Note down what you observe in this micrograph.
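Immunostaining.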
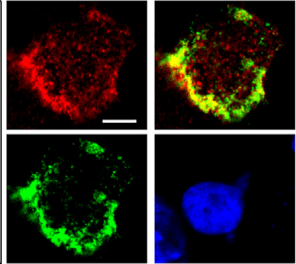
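One round nucleus, stained blue, sits toward one side of the cell. The green stain lies as fine granules in the cytoplasm, gathered in a crescent that wraps around part of the nucleus. The red stain is spread more widely through the cytoplasm as a speckled haze. Where the two overlap, the granular cytoplasm turns yellow, showing that both stains occupy the same cytoplasmic region.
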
